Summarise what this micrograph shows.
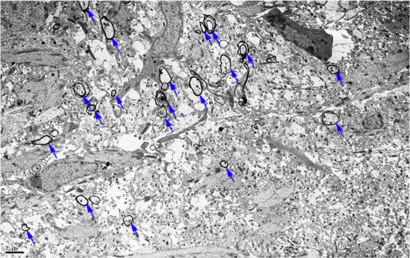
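The myelinated axons appear as small round or oval profiles, each encircled by a thin, dark electron-dense ring of compact myelin. They lie singly or in small groups among paler, irregular cell processes and neuropil rather than in tight bundles. Blue arrows point to several of these sheathed axons across the field. Larger grey cellular profiles occupy the upper right part of the field.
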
